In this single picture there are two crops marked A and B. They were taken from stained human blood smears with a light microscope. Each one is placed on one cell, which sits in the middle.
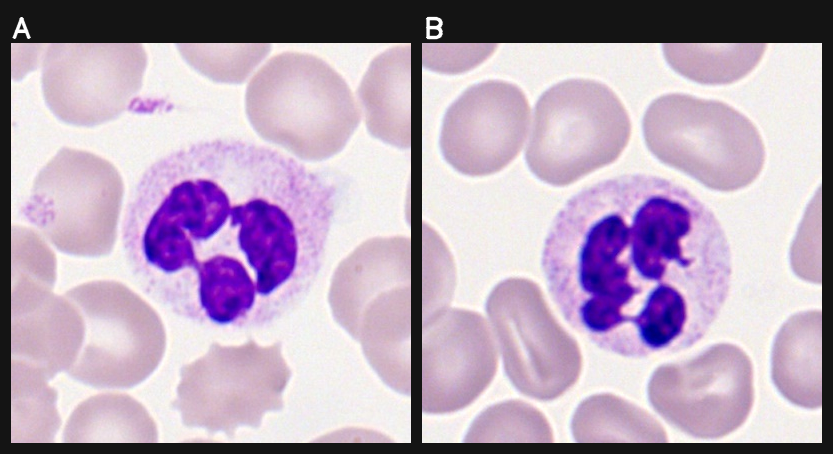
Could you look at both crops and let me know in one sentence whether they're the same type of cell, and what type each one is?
Yes, the cells centred in the two crops are both neutrophils.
